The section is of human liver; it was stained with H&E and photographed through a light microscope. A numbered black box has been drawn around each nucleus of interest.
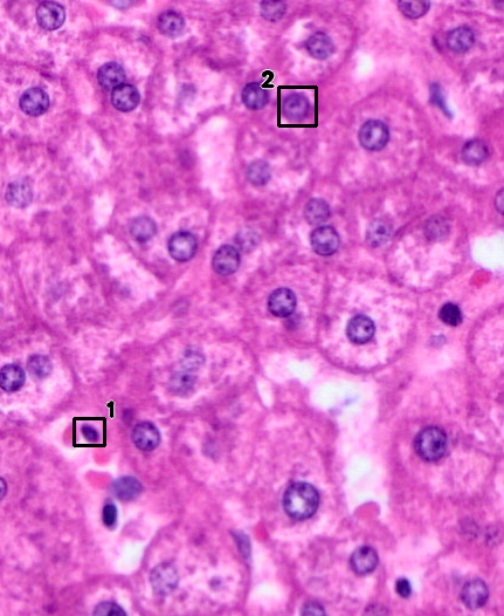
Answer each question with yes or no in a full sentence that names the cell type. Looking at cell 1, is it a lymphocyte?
Yes, the cell numbered 1 in this tissue is a lymphocyte.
